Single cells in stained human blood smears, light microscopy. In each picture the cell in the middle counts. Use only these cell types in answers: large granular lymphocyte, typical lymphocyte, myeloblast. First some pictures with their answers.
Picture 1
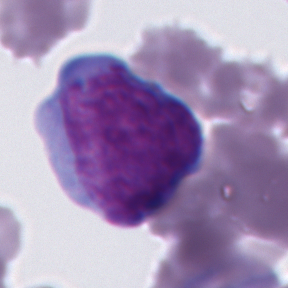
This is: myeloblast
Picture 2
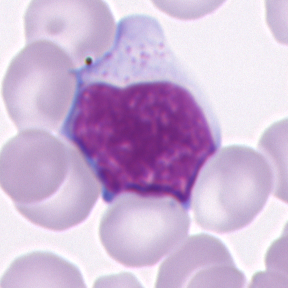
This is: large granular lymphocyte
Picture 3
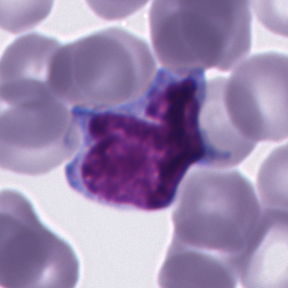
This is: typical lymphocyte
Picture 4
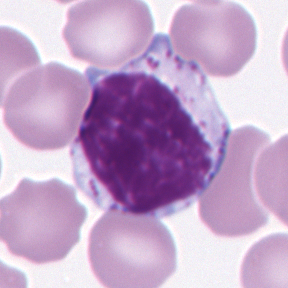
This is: large granular lymphocyte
